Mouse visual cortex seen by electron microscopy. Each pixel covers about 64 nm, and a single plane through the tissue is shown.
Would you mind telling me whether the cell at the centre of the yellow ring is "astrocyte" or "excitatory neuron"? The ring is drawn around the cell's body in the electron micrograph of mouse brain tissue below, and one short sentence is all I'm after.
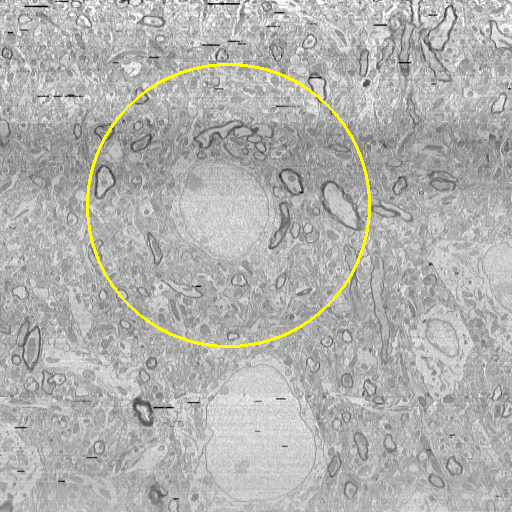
In the centre of the ring lies an astrocyte.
